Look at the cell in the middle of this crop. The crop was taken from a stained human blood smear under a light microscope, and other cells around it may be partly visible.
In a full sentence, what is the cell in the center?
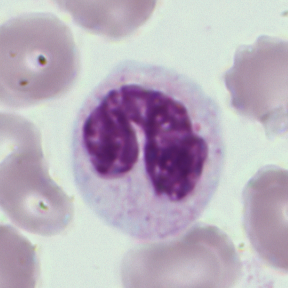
The cell in the middle of this crop is a band neutrophil.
